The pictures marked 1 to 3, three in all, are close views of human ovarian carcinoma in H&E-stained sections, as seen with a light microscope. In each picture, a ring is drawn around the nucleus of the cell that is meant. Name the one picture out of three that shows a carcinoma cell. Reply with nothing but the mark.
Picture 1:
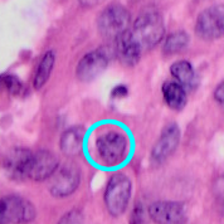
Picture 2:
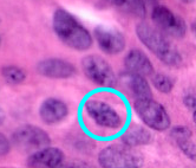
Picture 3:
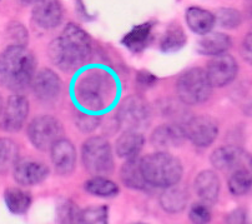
3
